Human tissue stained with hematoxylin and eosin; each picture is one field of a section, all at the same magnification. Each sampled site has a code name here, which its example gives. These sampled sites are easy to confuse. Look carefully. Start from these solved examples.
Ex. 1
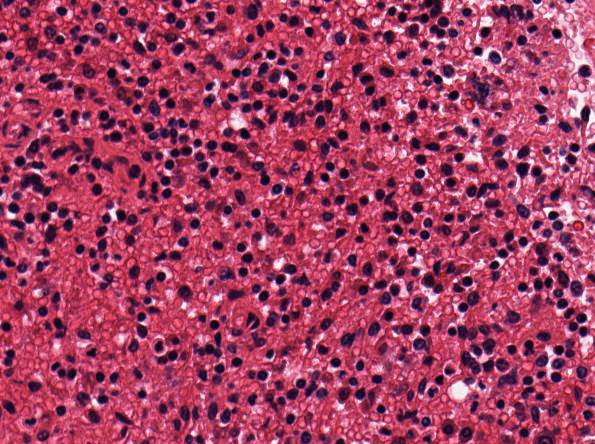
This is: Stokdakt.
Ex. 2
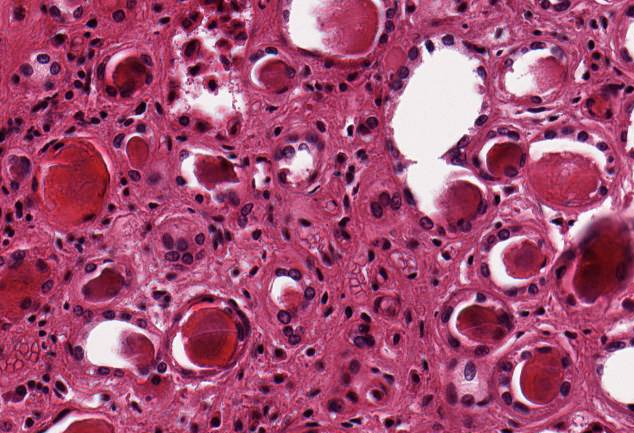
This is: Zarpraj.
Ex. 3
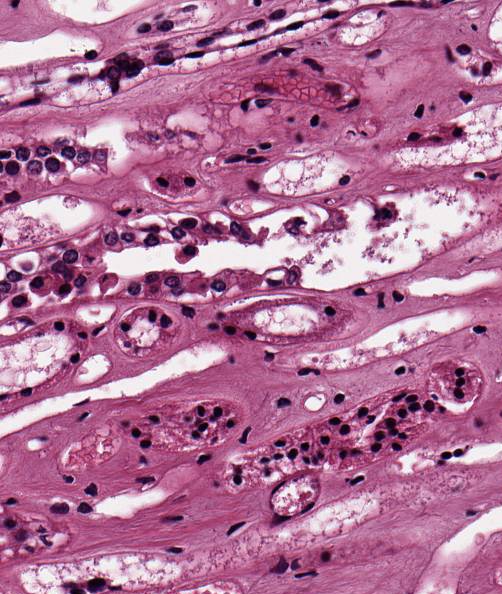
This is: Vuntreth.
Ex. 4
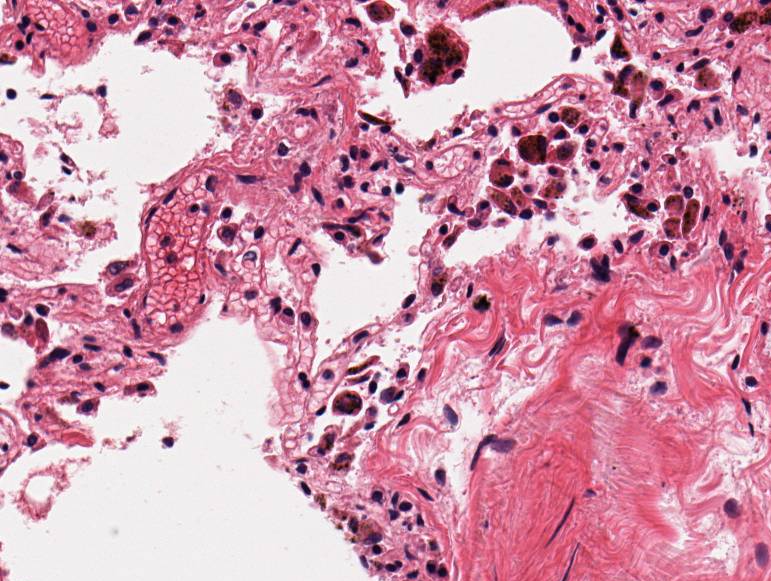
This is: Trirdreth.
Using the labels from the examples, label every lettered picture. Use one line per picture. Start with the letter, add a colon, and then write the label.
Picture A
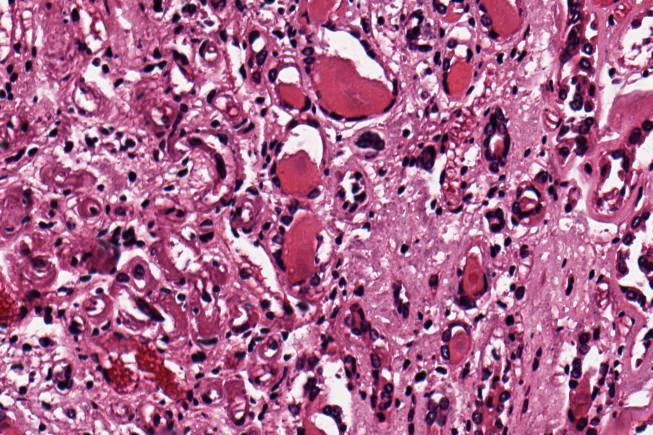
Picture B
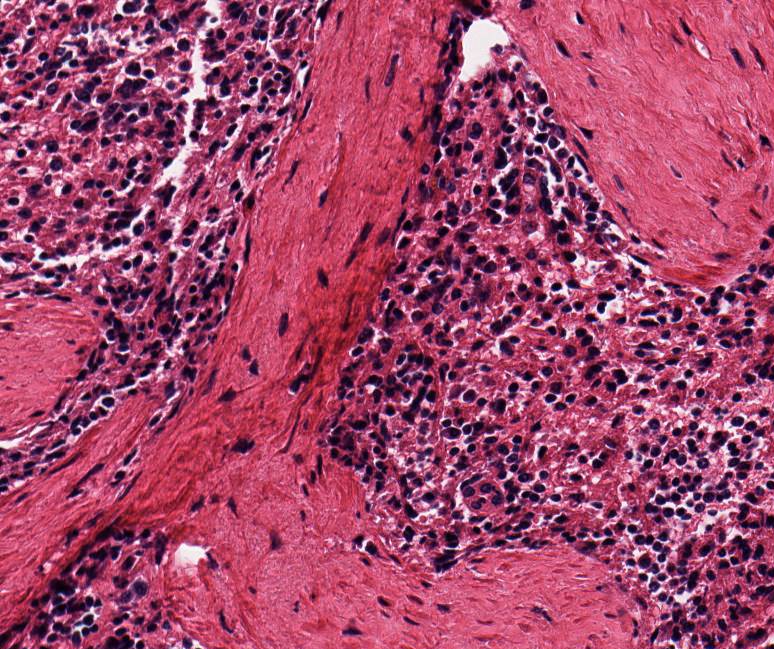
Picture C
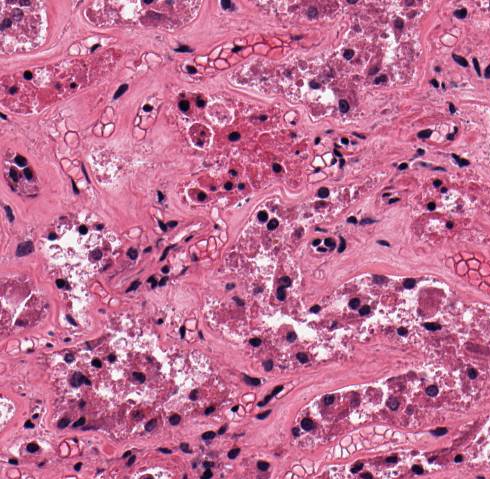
A: Zarpraj.
B: Stokdakt.
C: Zarpraj.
